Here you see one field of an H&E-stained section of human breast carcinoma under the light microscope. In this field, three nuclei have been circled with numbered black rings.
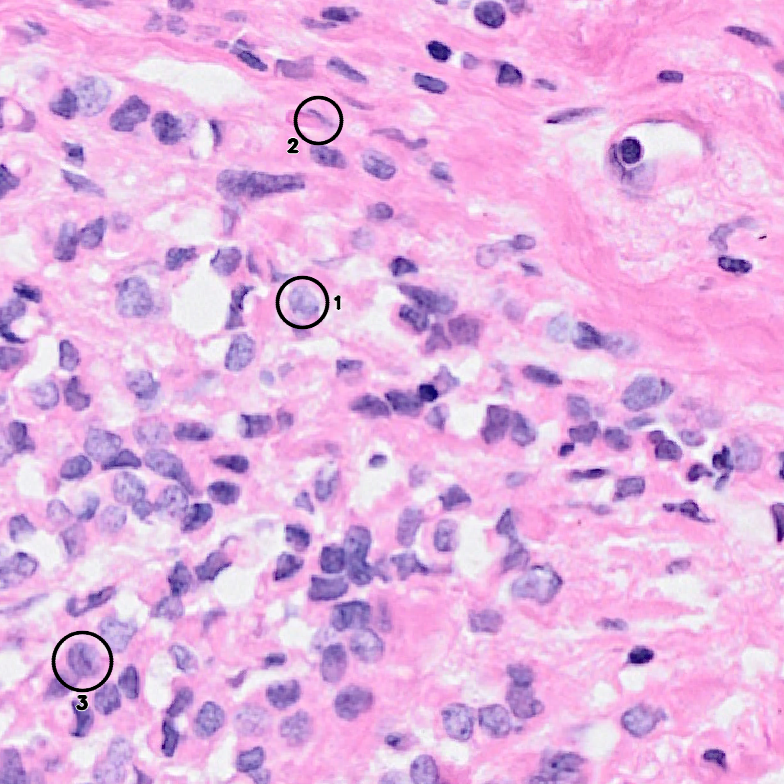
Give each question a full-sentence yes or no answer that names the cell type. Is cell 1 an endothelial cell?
No, cell 1 isn't an endothelial cell; it's a carcinoma cell.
